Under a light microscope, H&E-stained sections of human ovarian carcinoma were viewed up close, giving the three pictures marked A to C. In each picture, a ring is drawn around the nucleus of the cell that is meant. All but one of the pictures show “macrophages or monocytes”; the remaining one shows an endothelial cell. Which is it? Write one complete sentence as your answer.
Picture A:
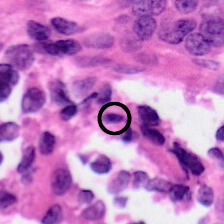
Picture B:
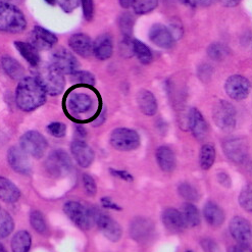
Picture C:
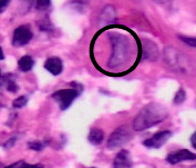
It is picture C that shows the endothelial cell.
